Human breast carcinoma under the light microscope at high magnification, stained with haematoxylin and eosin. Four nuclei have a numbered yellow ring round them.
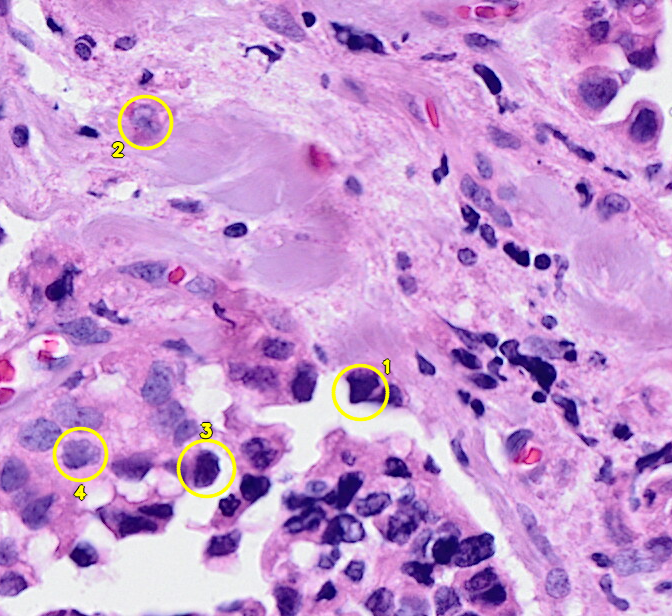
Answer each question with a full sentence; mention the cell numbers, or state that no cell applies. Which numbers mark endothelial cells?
Cell 2, and no other numbered cell, is an endothelial cell.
